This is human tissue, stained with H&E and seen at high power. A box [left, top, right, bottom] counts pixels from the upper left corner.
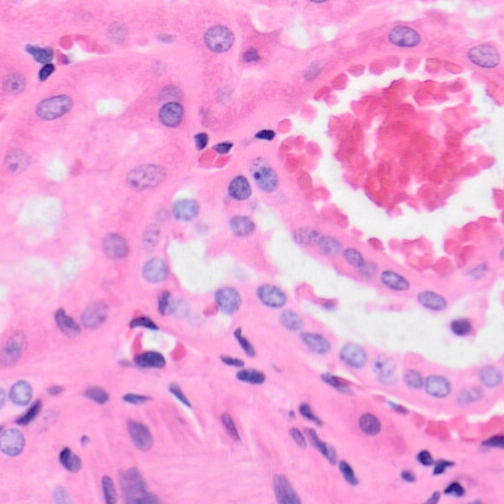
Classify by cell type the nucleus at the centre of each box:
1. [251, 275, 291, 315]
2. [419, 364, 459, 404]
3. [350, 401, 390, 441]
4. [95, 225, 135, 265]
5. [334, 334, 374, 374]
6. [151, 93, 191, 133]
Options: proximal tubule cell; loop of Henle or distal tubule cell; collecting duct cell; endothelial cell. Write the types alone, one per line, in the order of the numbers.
collecting duct cell
collecting duct cell
proximal tubule cell
proximal tubule cell
collecting duct cell
proximal tubule cell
